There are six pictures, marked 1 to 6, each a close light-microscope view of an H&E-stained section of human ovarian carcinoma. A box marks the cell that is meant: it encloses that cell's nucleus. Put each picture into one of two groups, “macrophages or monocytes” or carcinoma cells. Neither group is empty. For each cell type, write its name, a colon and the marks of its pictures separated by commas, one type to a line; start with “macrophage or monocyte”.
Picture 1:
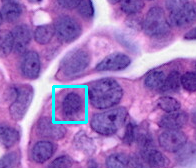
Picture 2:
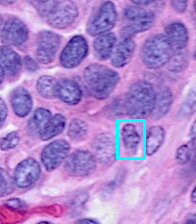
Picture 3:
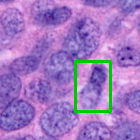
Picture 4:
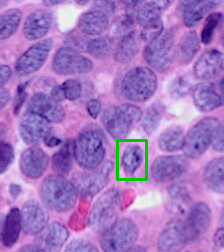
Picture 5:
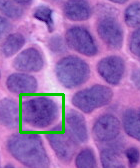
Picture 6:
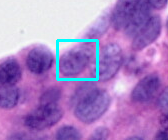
macrophage or monocyte: 2, 3, 4
carcinoma cell: 1, 5, 6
